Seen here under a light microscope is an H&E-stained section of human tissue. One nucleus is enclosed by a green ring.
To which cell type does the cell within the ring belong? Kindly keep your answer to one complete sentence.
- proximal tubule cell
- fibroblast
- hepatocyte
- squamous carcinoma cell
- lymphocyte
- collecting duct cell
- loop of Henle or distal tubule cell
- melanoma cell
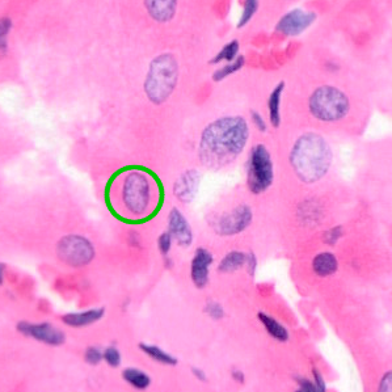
In the stained section, the cell within the ring is a proximal tubule cell.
